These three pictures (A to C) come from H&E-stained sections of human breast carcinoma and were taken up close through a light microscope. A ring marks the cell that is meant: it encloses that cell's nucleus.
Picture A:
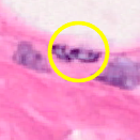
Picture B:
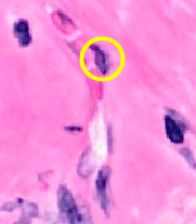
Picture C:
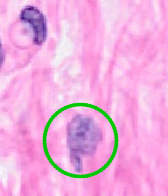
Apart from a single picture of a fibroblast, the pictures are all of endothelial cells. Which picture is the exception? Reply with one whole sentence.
The cell in picture C is the fibroblast.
